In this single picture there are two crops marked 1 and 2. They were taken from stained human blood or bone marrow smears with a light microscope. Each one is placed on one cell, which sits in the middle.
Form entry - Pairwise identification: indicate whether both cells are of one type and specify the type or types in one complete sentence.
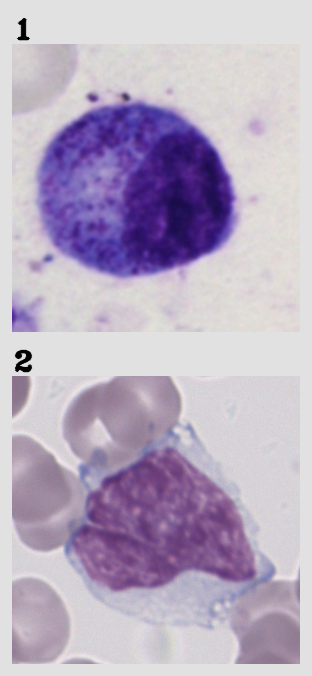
No, crop 1 carries a promyelocyte at its centre, and crop 2 carries a blast.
